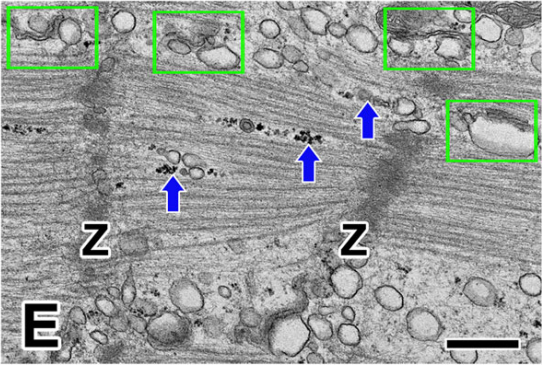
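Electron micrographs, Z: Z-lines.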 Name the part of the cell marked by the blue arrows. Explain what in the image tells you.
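Glycogen particles. The arrows point to small, very dense black granules. The granules sit in clusters between myofilaments.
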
